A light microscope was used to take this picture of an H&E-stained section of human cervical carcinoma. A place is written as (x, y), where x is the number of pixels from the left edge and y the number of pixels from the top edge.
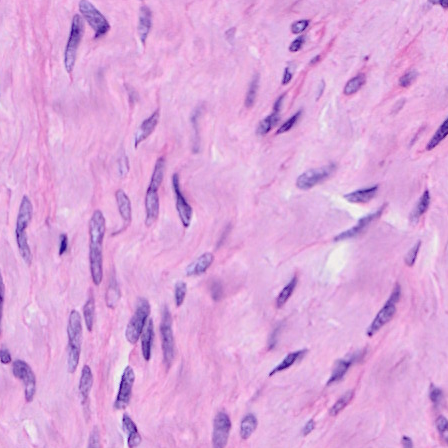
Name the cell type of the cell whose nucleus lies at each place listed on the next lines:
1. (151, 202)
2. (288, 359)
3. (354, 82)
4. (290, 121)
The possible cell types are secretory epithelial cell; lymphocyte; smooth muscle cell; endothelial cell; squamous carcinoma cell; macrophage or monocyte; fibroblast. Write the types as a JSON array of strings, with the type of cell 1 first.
["smooth muscle cell", "fibroblast", "smooth muscle cell", "fibroblast"]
